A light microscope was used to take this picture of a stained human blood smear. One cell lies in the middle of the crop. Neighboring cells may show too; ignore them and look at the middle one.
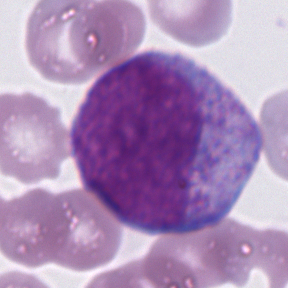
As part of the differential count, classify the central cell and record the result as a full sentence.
The cell at the heart of this crop is a promyelocyte.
